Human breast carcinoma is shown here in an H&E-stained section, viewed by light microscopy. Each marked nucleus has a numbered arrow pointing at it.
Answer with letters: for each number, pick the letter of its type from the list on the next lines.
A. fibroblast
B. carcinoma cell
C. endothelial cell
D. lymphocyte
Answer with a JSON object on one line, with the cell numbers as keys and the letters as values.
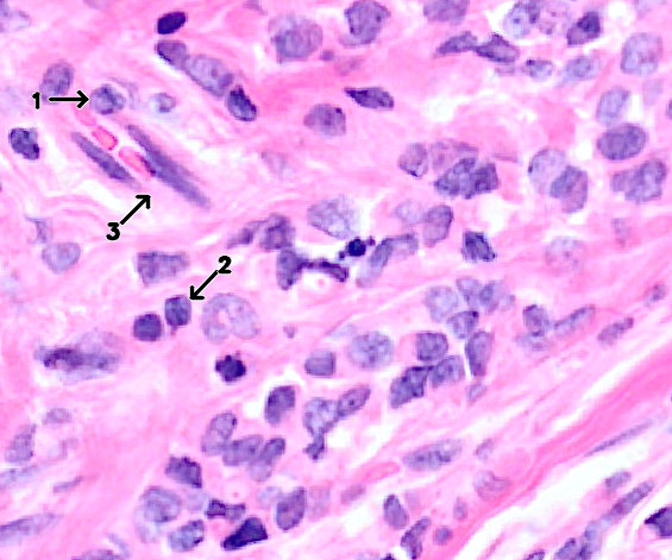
{"1": "C", "2": "D", "3": "C"}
